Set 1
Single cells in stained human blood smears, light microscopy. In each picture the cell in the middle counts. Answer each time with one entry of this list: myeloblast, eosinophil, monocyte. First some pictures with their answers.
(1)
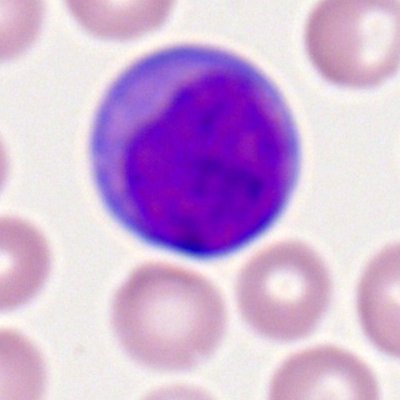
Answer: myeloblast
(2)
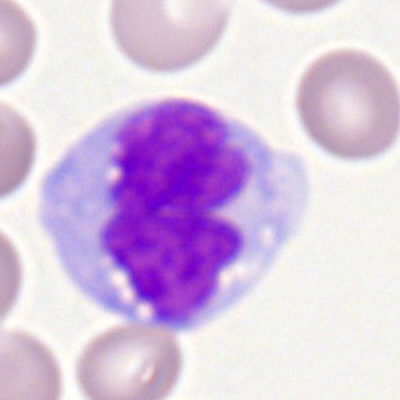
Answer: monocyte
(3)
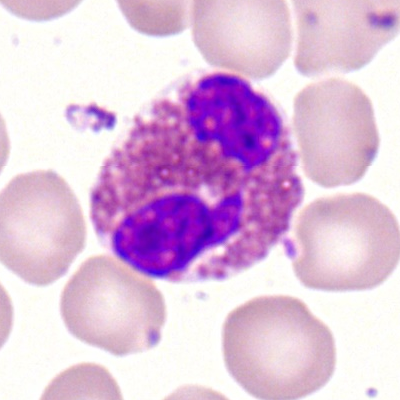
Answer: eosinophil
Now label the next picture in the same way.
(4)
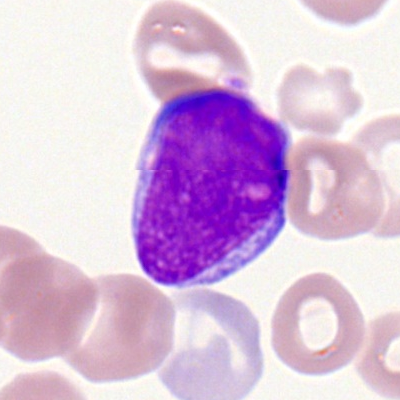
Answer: myeloblast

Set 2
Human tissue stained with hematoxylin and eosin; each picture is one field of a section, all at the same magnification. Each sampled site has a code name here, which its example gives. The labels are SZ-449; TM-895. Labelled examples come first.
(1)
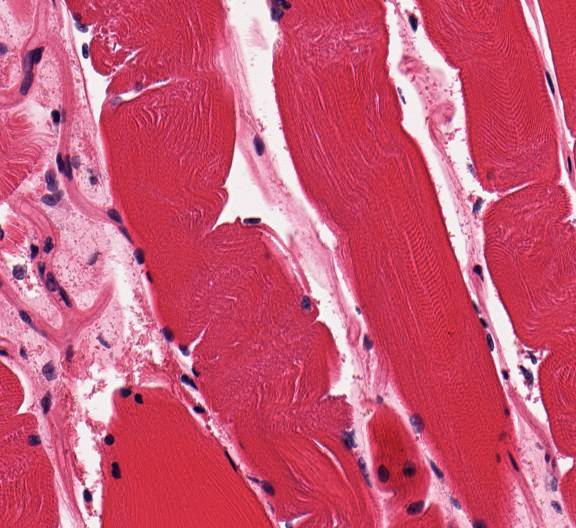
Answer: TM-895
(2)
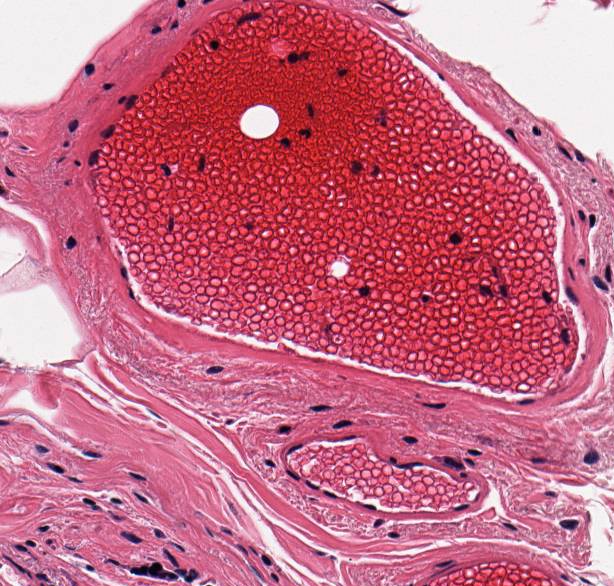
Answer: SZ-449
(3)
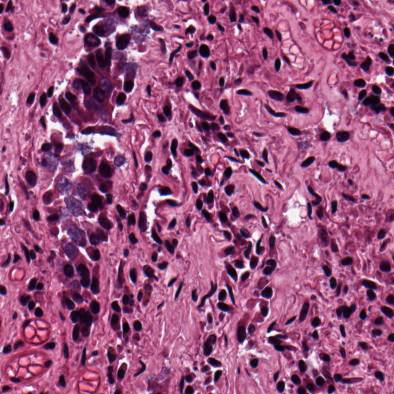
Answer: SZ-449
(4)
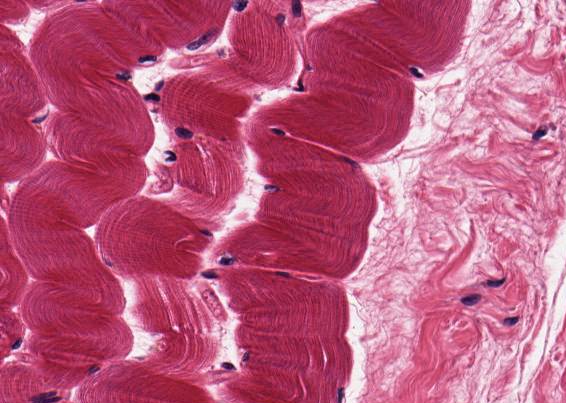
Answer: TM-895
